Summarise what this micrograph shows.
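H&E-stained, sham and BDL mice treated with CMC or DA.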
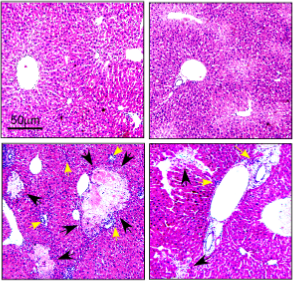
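In the upper fields the parenchyma is uniform, with plates of hepatocytes around open vessels. In the lower fields there are pale pink, irregular areas of necrosis where the hepatocyte pattern is lost, with bluish strands and small dark inflammatory cells near the vessels; these areas are larger and more numerous in the left field than in the right field.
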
